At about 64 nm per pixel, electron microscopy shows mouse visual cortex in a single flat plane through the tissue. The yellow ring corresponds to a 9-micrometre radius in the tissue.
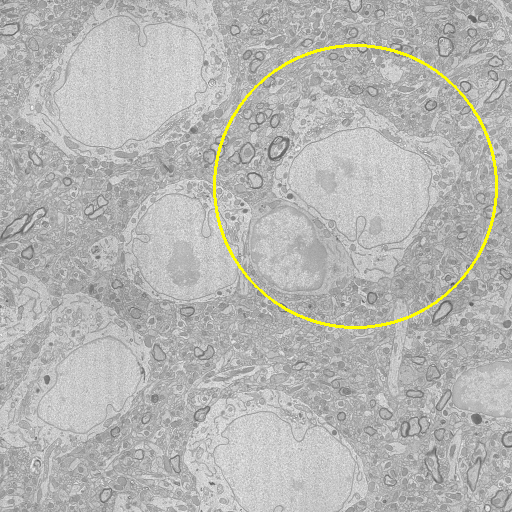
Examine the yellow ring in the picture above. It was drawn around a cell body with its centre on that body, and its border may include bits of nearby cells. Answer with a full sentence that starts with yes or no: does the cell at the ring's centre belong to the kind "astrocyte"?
No, the cell at the heart of the ring shown in the image is a different kind of cell.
